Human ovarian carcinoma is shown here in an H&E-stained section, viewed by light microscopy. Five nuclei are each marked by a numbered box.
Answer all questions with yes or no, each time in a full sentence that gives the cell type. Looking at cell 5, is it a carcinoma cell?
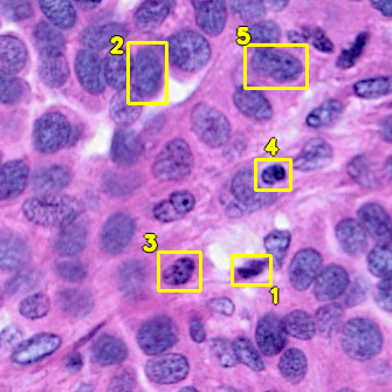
Yes, on this slide, the cell with number 5 is a carcinoma cell.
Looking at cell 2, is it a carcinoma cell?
Yes, the cell identified by number 2 is a carcinoma cell.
